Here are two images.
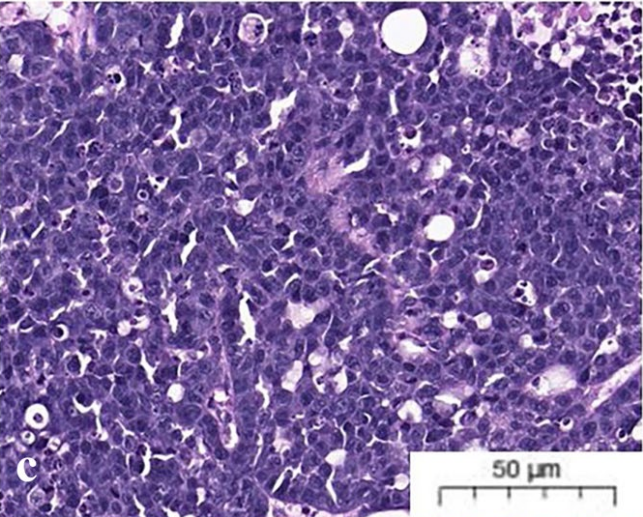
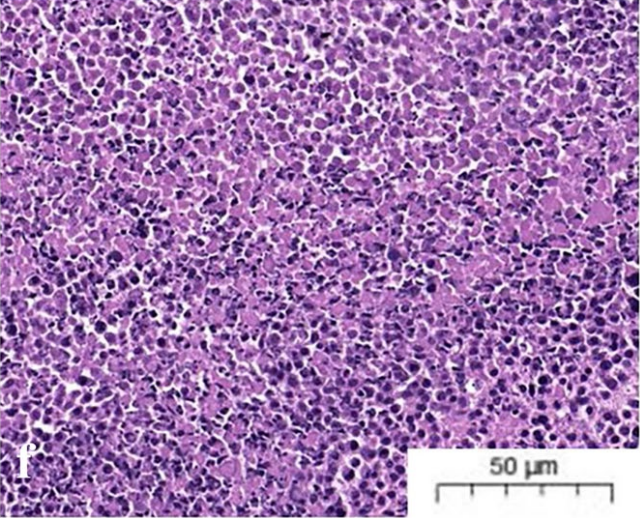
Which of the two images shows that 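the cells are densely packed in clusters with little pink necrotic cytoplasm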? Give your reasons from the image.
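The first image. First image: crowded purple cells with large nuclei form solid sheets and clusters separated by narrow clefts.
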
